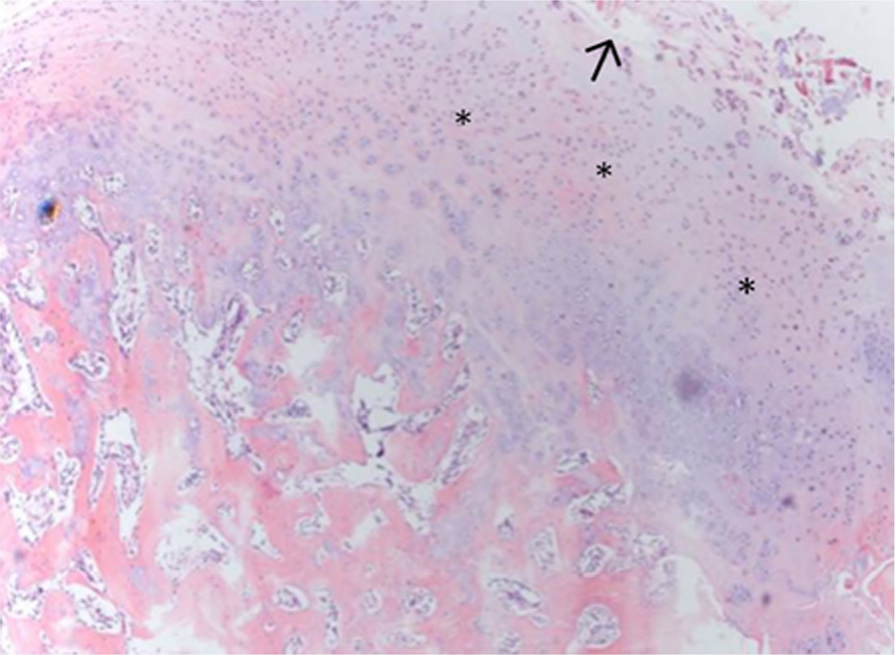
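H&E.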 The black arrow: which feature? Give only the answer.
Tissue surface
